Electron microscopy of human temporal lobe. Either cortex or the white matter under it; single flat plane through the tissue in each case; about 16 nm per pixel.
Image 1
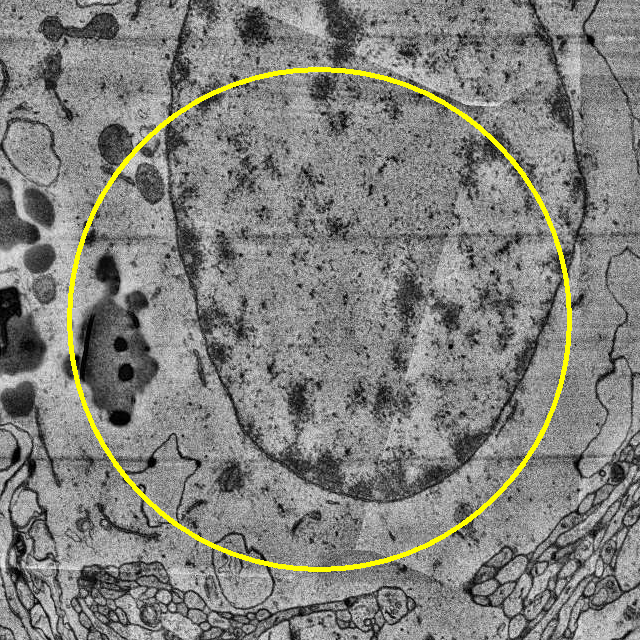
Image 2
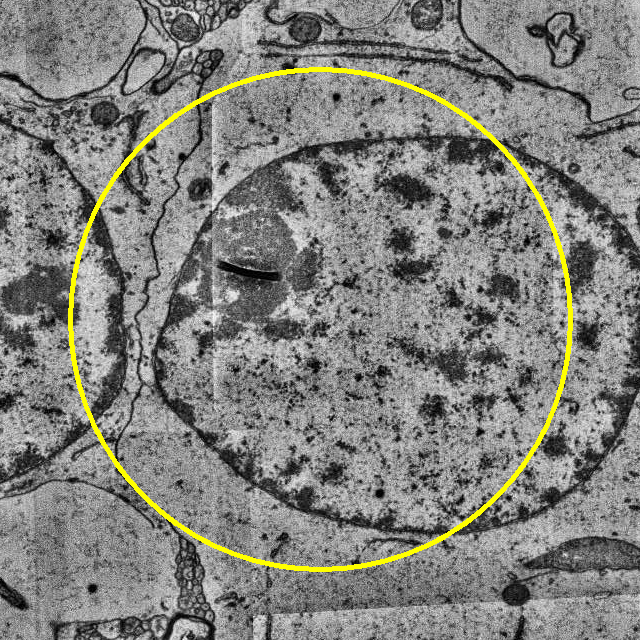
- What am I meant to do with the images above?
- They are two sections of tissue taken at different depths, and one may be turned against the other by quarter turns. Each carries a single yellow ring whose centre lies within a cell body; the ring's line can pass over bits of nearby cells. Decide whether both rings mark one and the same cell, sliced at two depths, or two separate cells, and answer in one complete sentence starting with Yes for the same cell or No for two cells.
No, the two yellow rings each circle a different cell.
